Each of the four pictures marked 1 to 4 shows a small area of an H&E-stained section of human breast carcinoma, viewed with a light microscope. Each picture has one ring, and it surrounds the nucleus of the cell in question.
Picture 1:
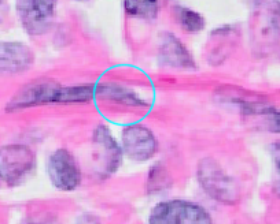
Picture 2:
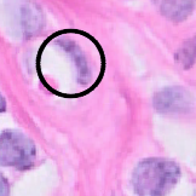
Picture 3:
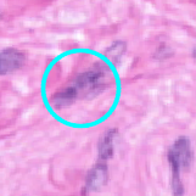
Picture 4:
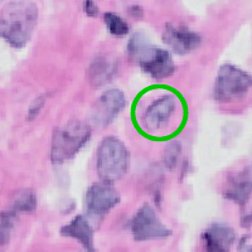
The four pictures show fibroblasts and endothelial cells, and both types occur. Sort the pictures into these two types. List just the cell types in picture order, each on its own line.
endothelial cell
endothelial cell
fibroblast
endothelial cell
